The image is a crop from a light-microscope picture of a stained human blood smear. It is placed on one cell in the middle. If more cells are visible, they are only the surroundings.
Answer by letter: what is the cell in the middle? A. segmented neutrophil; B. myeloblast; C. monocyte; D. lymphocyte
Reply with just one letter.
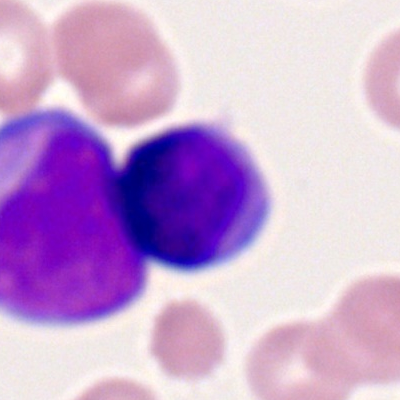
D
